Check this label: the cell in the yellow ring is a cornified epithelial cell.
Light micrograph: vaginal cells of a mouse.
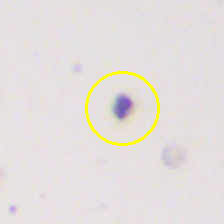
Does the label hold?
The label does not hold; the cell is a leukocyte.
